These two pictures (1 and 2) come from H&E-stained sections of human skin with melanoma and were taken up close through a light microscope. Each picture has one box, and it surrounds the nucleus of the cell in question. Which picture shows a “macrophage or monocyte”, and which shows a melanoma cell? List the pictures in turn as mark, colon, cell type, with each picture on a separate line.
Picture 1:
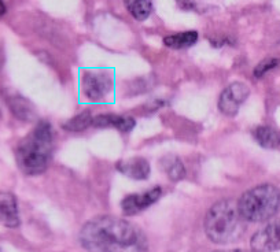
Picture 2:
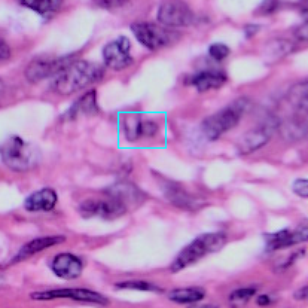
1: melanoma cell
2: macrophage or monocyte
